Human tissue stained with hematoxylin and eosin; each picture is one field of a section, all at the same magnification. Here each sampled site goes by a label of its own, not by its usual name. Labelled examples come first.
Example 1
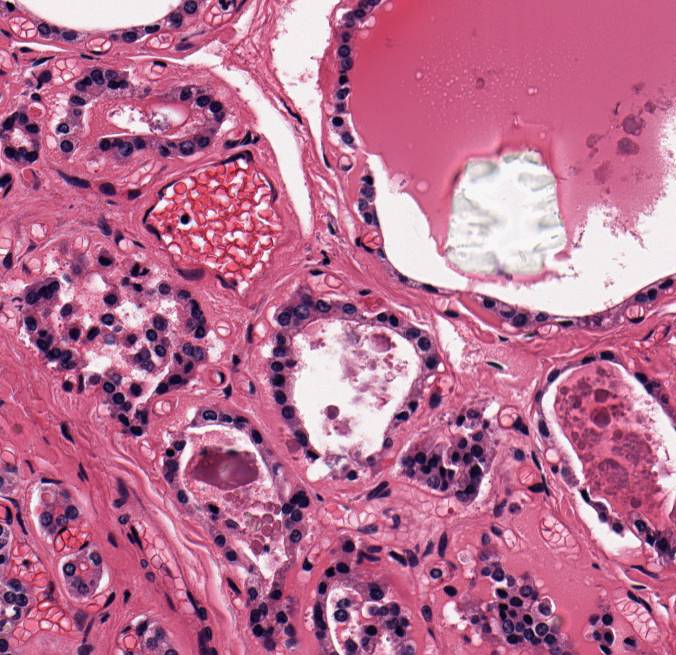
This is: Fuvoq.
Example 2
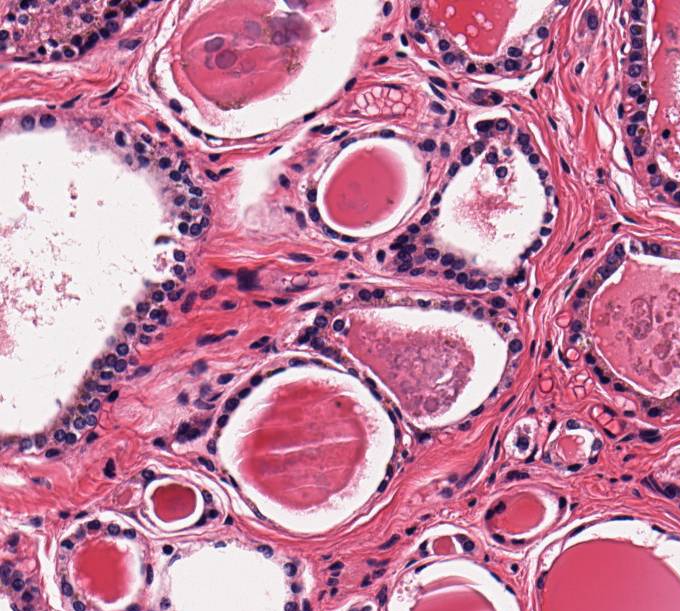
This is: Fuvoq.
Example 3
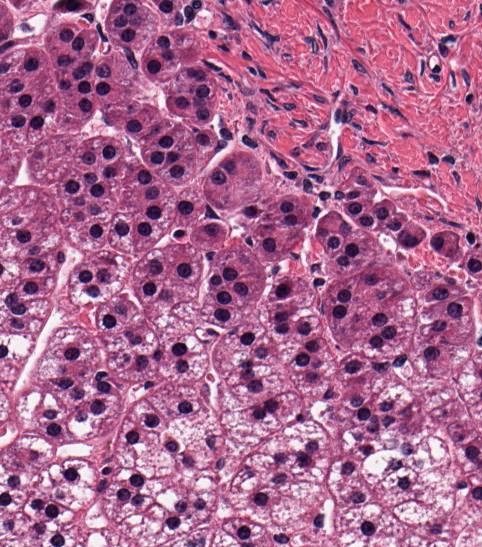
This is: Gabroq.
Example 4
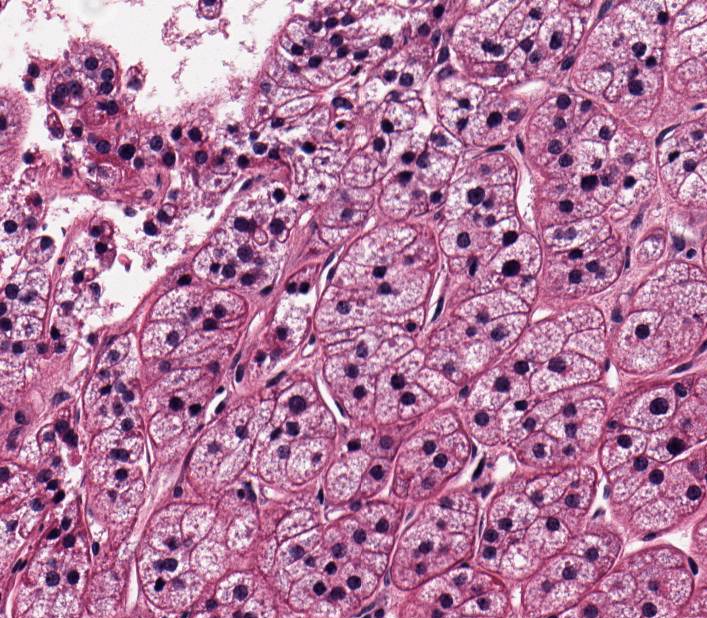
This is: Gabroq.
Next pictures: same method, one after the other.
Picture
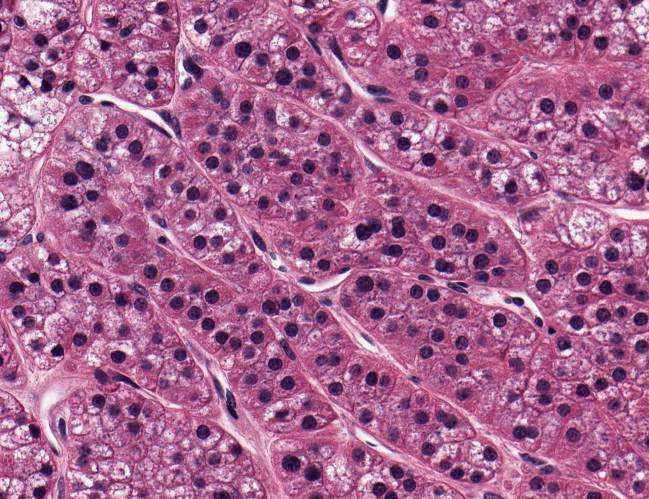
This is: Gabroq.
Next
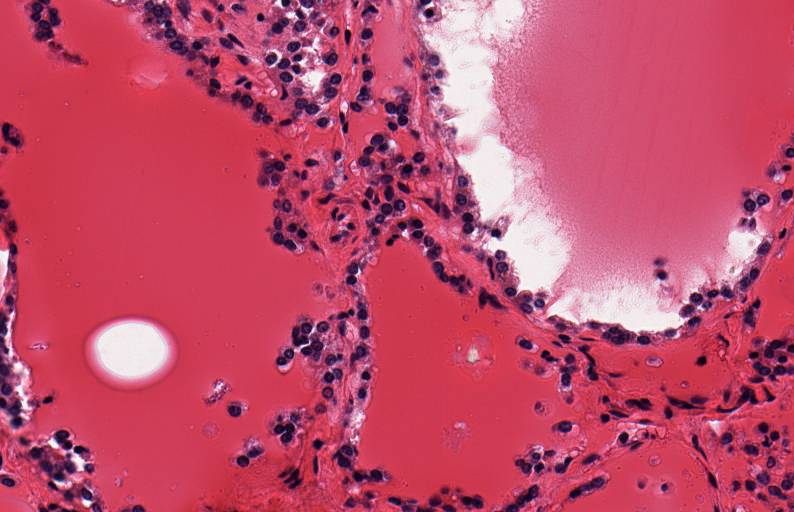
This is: Fuvoq.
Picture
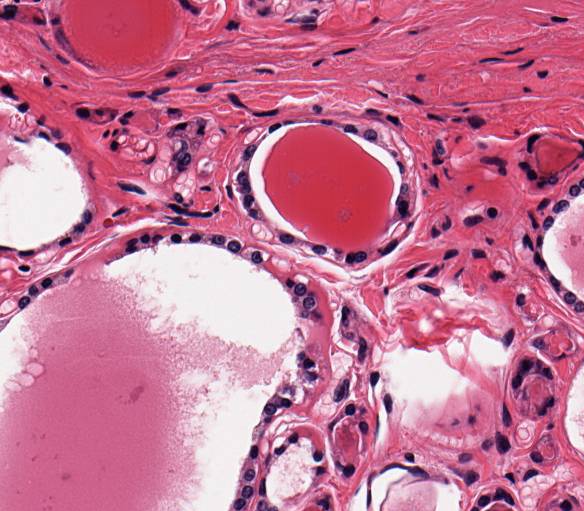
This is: Fuvoq.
